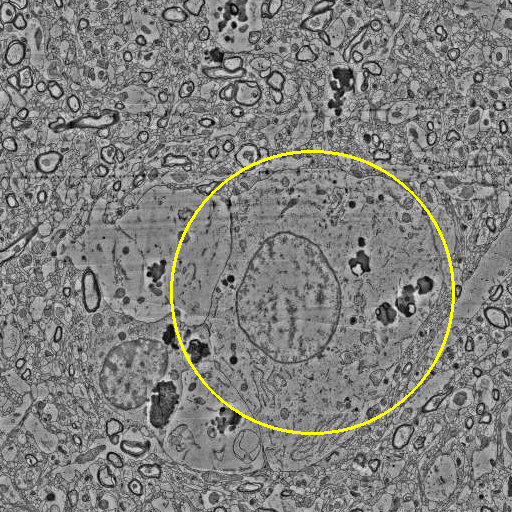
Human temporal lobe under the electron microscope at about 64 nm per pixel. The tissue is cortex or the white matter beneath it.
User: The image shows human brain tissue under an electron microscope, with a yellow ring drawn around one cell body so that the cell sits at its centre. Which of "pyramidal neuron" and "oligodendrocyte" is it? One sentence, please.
At the centre of the ring sits a pyramidal neuron.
